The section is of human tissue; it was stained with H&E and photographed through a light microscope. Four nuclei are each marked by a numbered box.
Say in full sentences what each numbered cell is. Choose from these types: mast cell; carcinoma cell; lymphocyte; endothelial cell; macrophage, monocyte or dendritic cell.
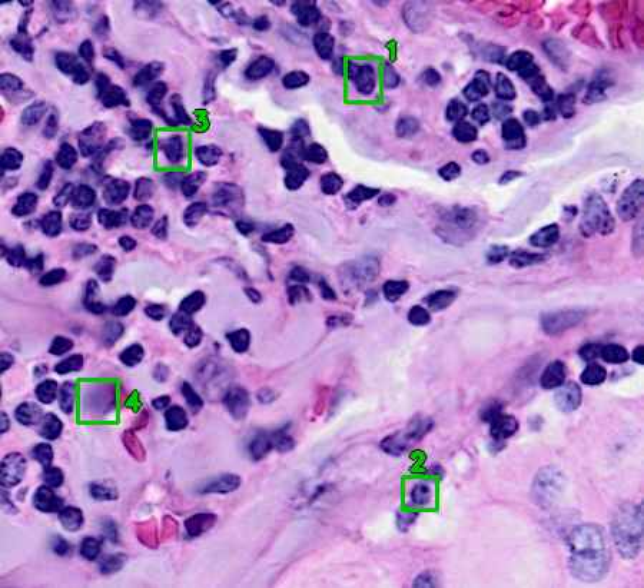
Cell 1 is a lymphocyte, cell 2 is a lymphocyte, cell 3 is a lymphocyte and cell 4 is an endothelial cell.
